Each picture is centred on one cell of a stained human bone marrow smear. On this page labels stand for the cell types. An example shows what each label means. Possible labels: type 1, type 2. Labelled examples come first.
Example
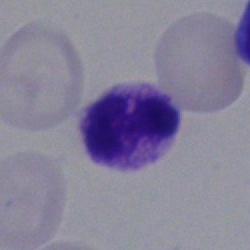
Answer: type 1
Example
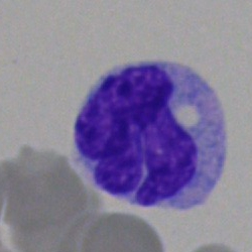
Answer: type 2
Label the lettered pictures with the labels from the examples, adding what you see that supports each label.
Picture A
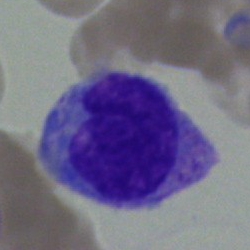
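Answer: type 2. The nucleus fills most of the cell.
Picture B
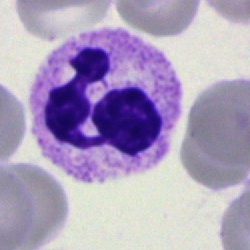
Answer: type 1. Fine lilac granules are spread evenly through the cytoplasm.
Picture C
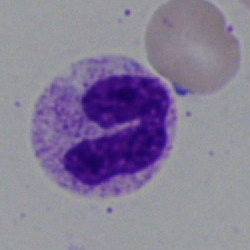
Answer: type 1. Fine lilac-purple granules are scattered throughout the cytoplasm.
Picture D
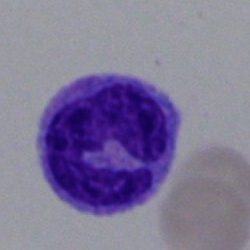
Answer: type 2. The nucleus fills most of the cell.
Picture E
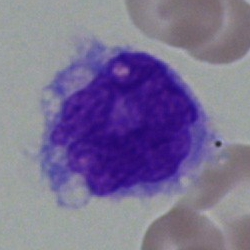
Answer: type 2. The nucleus fills most of the cell and has an irregular, folded shape.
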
